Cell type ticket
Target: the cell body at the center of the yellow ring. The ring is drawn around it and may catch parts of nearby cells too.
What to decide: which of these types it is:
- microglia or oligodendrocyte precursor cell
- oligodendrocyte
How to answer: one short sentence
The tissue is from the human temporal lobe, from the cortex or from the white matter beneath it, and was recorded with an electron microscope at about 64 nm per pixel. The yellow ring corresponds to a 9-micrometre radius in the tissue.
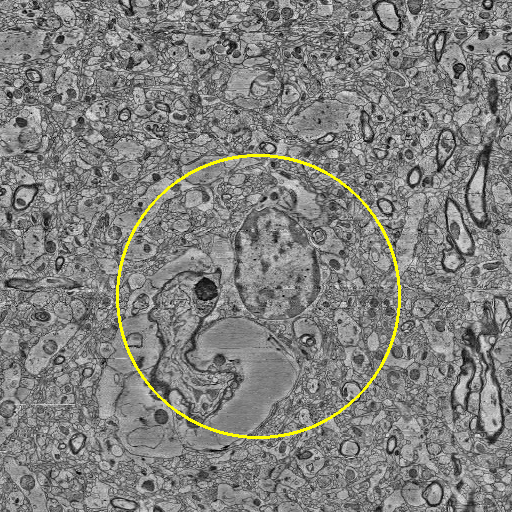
The cell at the center of the ring is a microglial cell or oligodendrocyte precursor cell.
